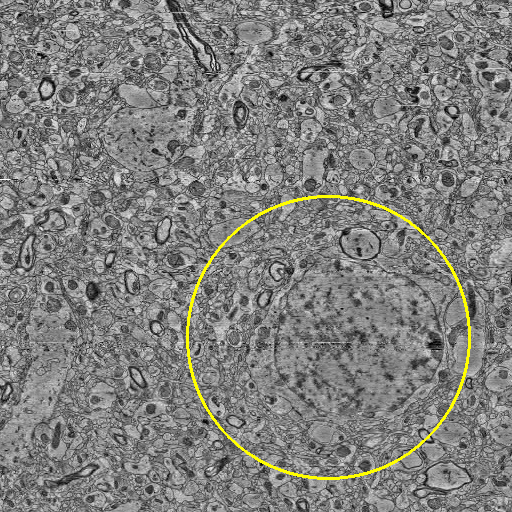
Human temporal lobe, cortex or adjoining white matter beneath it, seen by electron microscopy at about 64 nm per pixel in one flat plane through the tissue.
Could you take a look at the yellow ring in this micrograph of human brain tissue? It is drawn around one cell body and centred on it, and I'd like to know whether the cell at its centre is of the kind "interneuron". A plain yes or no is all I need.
yes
